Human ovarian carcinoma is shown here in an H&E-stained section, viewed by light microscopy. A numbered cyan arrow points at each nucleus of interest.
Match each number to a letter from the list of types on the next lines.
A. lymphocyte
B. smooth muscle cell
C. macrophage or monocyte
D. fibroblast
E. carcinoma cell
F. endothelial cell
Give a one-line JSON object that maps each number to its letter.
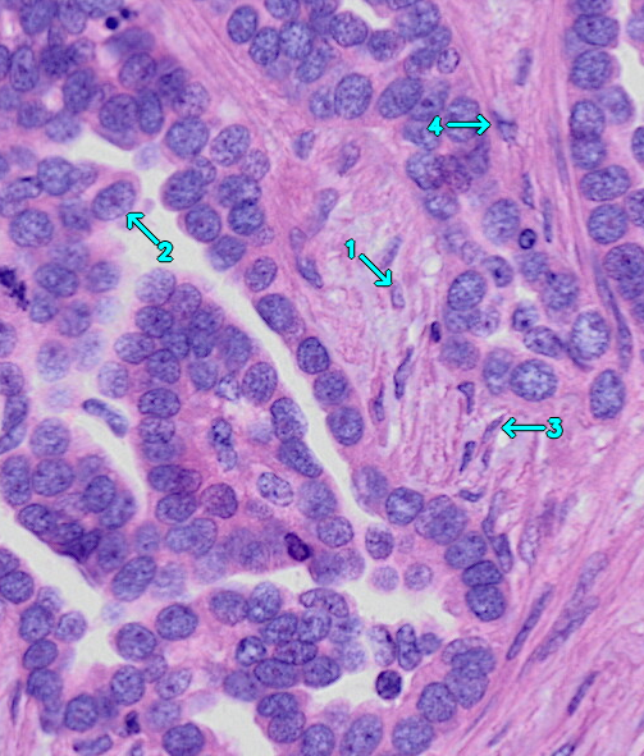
{"1": "D", "2": "E", "3": "D", "4": "D"}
